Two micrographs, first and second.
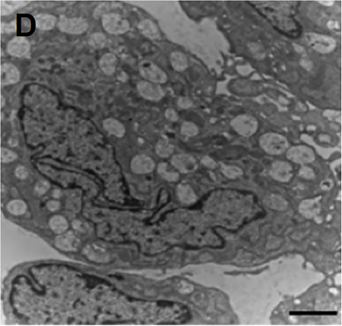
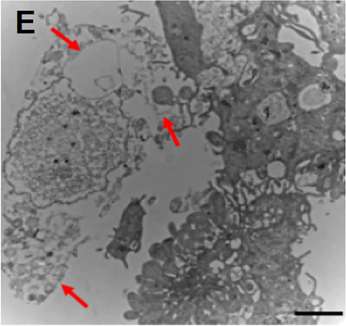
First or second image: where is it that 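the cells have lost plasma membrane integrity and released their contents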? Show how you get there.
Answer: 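The second image. Second image: cell borders are broken, with vesicles and fragments scattered in the surrounding space. First image: cells have continuous borders and densely filled cytoplasm around intact nuclei.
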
